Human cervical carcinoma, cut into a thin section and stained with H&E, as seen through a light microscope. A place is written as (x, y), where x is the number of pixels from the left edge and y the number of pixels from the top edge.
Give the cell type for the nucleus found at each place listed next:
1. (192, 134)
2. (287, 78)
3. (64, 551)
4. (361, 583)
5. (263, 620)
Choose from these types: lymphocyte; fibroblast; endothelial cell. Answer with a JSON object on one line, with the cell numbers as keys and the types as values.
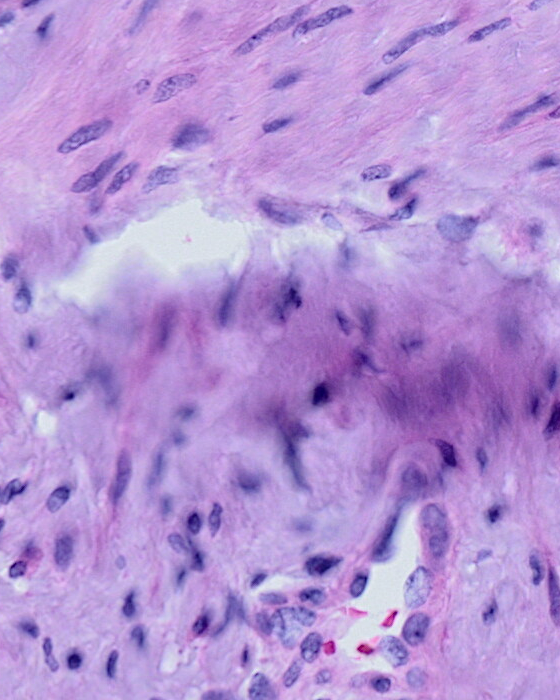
{"1": "fibroblast", "2": "fibroblast", "3": "fibroblast", "4": "endothelial cell", "5": "endothelial cell"}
